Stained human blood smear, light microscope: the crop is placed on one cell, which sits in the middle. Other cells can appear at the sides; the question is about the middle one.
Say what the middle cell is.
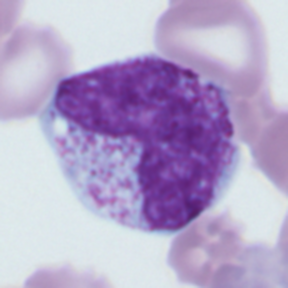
band neutrophil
